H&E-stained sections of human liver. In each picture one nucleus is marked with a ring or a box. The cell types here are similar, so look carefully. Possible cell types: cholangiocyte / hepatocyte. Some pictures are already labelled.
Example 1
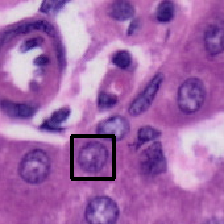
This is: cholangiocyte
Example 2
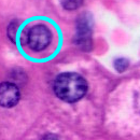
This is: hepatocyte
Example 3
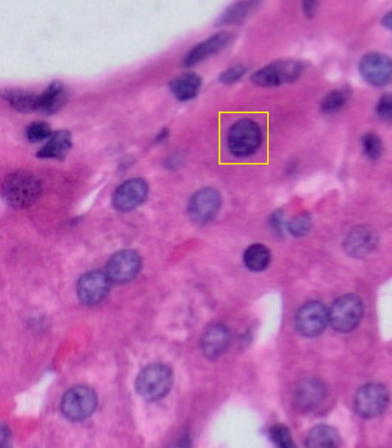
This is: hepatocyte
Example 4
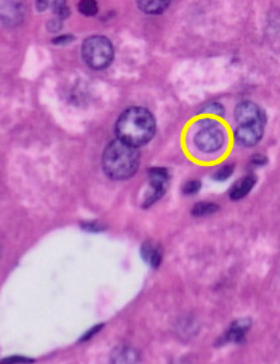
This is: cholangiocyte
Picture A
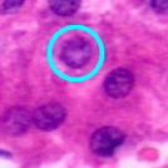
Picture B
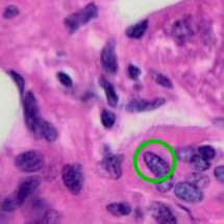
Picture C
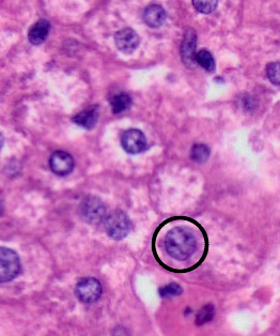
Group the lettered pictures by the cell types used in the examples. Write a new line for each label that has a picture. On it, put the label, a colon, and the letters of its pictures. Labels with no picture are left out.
cholangiocyte: B
hepatocyte: A, C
